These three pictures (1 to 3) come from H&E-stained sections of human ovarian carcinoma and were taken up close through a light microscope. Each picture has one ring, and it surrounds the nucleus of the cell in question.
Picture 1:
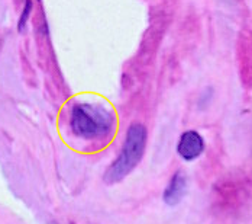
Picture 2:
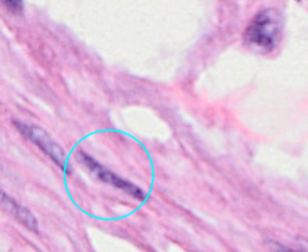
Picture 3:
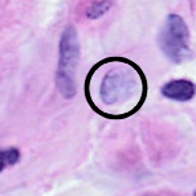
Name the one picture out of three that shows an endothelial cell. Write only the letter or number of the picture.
1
